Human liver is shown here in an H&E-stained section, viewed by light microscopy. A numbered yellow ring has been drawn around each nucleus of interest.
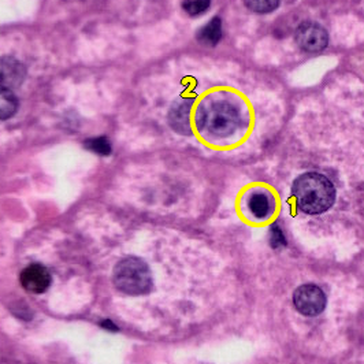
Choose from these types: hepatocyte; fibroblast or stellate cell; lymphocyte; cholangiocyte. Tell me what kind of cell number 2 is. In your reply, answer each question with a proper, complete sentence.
In the marked set, the cell given number 2 is a hepatocyte.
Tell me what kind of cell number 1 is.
Within this field of view, the cell labelled 1 is a lymphocyte.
